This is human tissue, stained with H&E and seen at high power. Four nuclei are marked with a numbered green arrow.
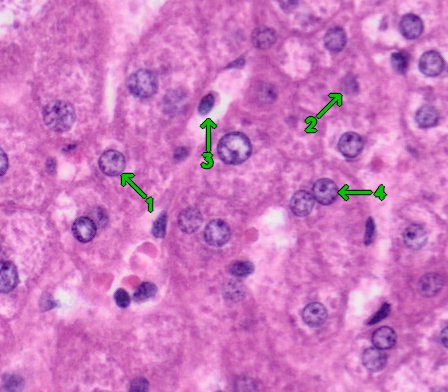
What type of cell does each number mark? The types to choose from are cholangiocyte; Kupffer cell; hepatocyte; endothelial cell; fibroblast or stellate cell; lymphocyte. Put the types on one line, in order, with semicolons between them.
hepatocyte; hepatocyte; lymphocyte; hepatocyte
